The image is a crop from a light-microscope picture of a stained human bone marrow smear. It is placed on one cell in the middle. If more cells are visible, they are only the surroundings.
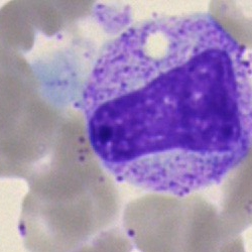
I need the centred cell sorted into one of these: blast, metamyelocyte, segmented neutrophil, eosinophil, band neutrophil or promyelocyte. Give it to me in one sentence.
The cell in the middle of the field of view is a metamyelocyte.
